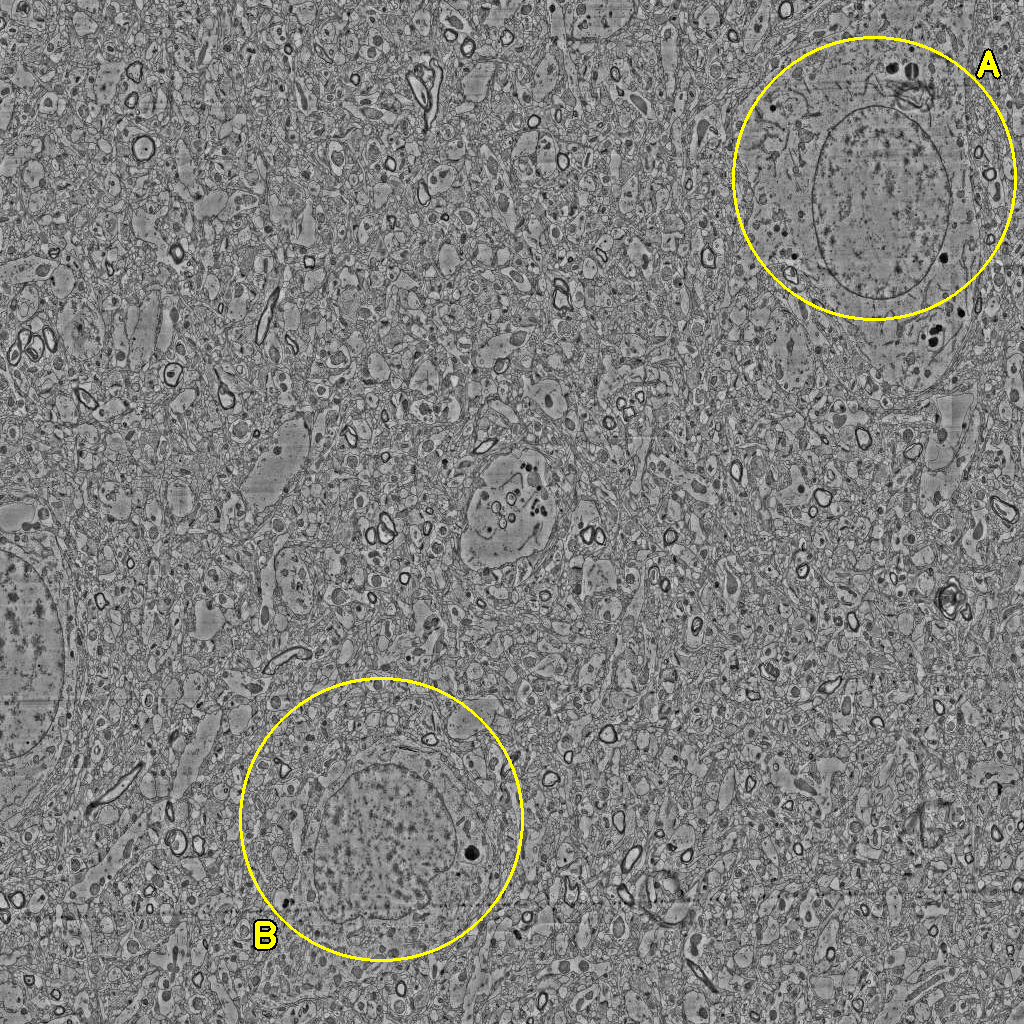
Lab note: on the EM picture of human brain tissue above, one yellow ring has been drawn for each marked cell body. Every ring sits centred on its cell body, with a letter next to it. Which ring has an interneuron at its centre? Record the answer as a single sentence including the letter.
Noted: the cell in question is at the centre of ring B.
